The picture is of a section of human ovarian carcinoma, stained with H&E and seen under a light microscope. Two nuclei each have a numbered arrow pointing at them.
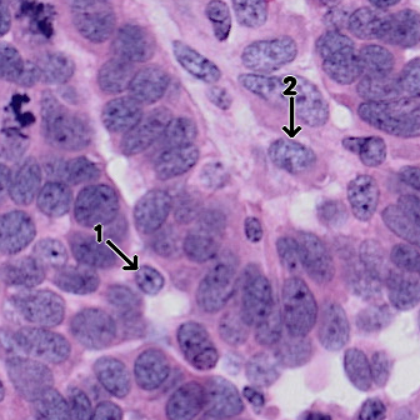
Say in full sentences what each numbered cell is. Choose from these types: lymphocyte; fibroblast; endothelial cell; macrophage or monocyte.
Cell 1 is a macrophage or monocyte and cell 2 is a fibroblast.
